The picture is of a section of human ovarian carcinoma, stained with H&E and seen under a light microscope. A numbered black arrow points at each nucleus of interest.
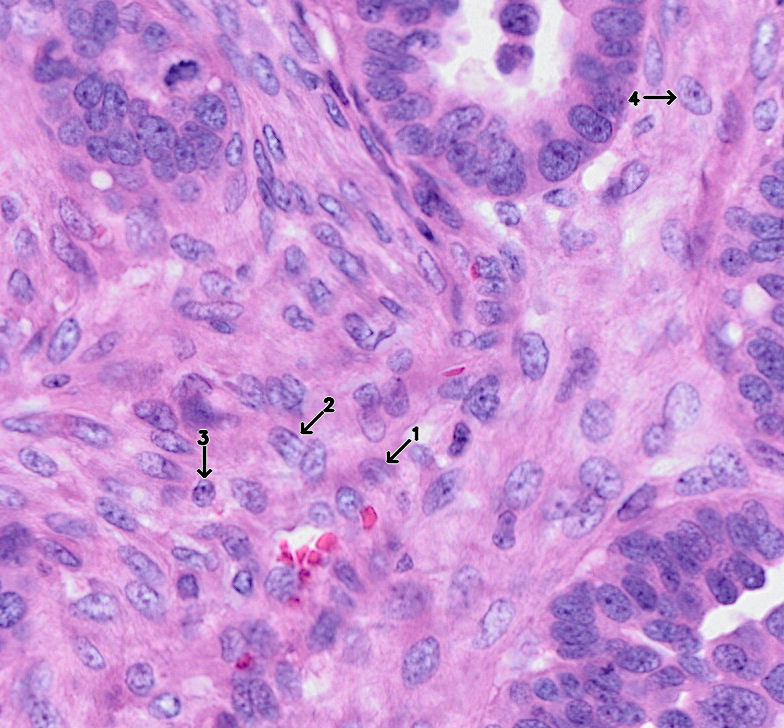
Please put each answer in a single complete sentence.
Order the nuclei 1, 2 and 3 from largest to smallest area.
The nuclei rank 2, 1, 3, from largest to smallest.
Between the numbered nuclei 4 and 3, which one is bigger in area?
It is nucleus 4, which covers about 1.5 times the area of nucleus 3.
